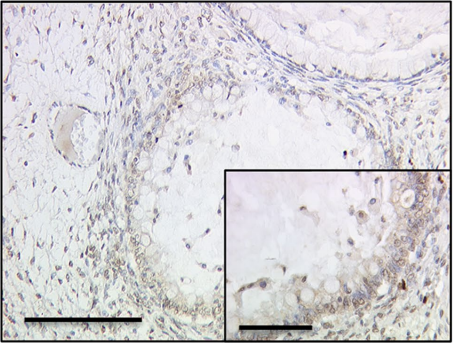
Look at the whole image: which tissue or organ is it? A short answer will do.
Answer: Mucinous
